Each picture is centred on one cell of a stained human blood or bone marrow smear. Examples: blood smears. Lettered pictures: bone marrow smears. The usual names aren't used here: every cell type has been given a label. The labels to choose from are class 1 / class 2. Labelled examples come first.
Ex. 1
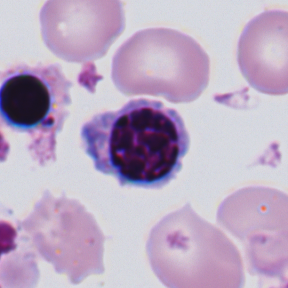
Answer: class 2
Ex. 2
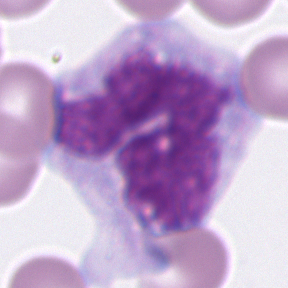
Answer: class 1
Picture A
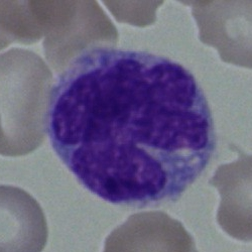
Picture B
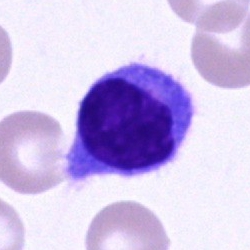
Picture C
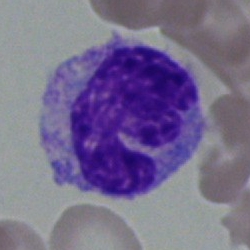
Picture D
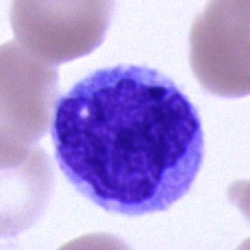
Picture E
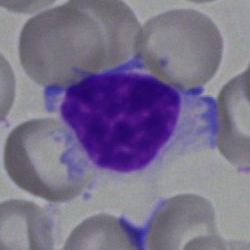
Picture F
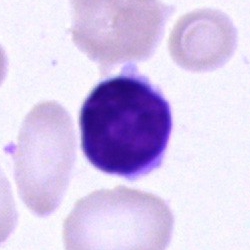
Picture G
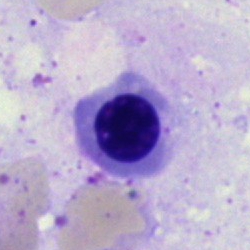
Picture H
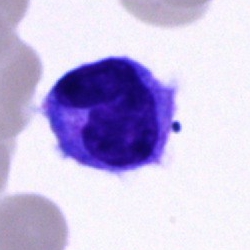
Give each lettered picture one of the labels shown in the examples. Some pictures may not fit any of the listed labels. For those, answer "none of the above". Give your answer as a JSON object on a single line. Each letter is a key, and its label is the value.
{"A": "class 1", "B": "none of the above", "C": "class 1", "D": "class 1", "E": "none of the above", "F": "none of the above", "G": "class 2", "H": "class 1"}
